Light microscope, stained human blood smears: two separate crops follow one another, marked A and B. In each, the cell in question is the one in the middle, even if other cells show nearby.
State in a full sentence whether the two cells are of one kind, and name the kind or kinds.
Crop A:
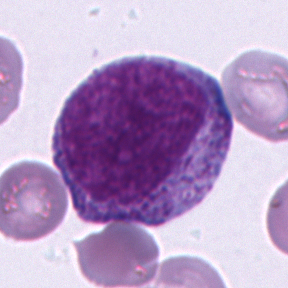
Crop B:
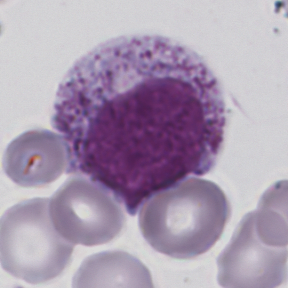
No: a promyelocyte sits in crop A, and a myelocyte sits in crop B.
